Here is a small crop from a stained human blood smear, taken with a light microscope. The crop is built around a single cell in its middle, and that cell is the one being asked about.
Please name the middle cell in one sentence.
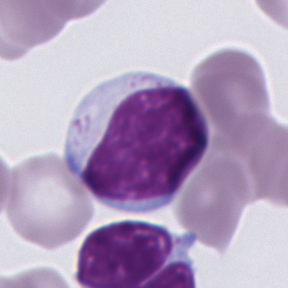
By type, the central cell of the crop is a large granular lymphocyte.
